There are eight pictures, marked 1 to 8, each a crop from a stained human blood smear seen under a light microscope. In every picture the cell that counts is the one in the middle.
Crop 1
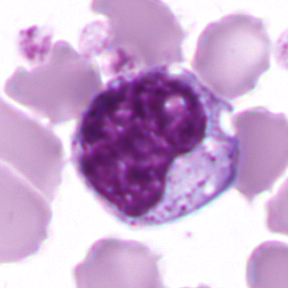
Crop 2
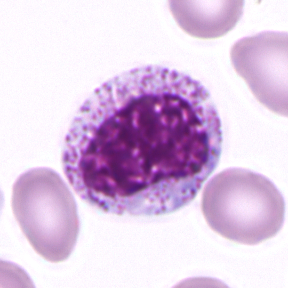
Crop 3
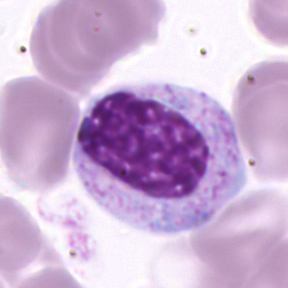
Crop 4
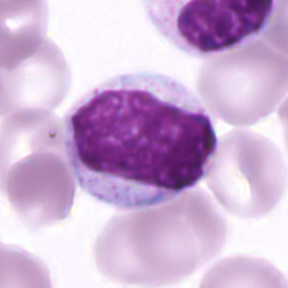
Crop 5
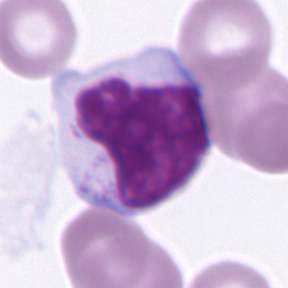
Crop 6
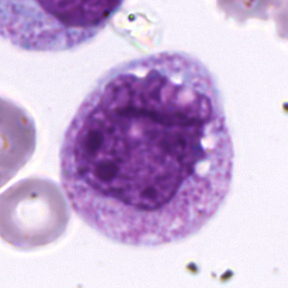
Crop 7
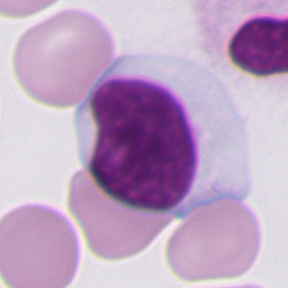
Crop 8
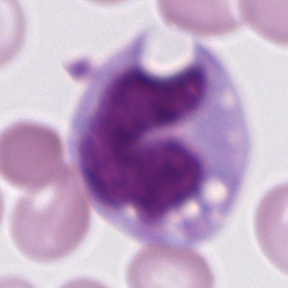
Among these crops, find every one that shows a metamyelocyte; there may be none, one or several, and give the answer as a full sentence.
The middle cells of crops 1, 2, 3 and 4 are metamyelocytes.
